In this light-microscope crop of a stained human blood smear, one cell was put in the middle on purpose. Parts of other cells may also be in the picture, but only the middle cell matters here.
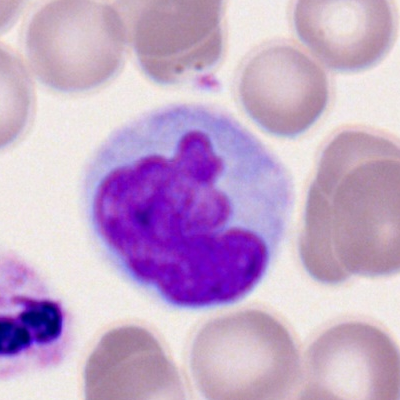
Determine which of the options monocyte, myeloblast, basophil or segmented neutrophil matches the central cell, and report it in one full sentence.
What the crop centres on is a monocyte.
